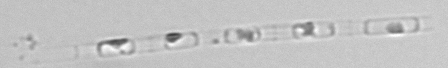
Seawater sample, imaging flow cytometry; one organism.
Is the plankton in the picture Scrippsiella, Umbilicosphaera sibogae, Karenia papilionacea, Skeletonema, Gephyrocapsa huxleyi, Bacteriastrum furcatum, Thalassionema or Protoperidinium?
It is Skeletonema.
